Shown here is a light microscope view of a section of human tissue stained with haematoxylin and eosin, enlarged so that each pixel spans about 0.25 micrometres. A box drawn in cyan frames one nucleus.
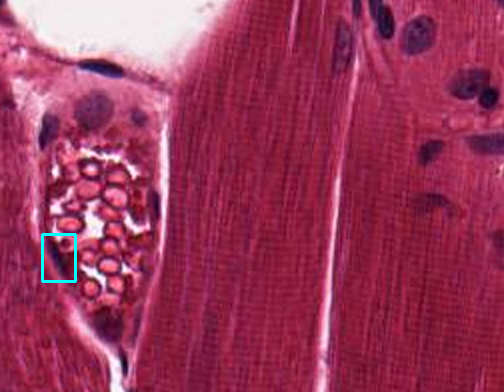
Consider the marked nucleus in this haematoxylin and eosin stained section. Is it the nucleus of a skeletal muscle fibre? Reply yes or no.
no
